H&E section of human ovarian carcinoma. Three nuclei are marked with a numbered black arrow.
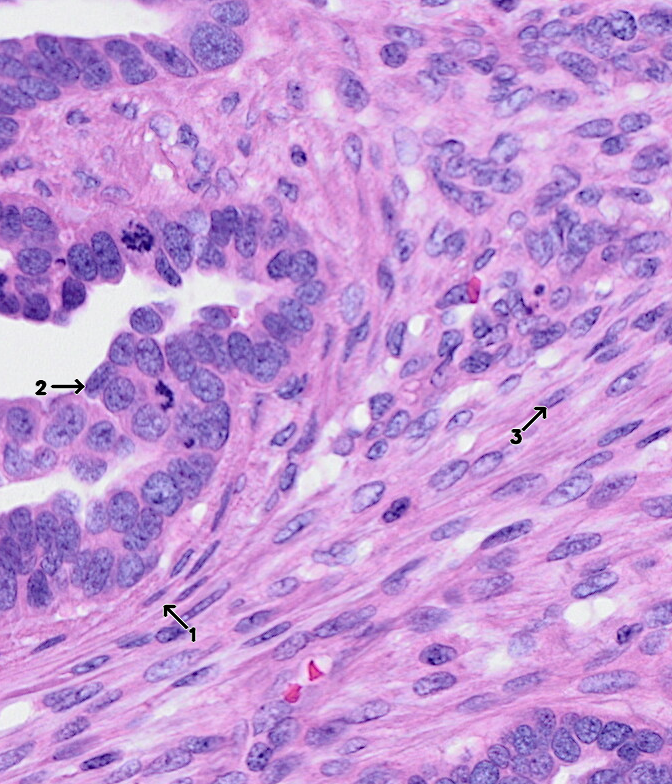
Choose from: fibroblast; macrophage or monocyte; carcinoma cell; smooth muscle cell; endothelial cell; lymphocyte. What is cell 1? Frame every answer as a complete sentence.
The cell pointed out as number 1 is a fibroblast.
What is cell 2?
In this section, number 2 marks a carcinoma cell.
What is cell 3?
Denoted by the label 3 in the section is a fibroblast.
